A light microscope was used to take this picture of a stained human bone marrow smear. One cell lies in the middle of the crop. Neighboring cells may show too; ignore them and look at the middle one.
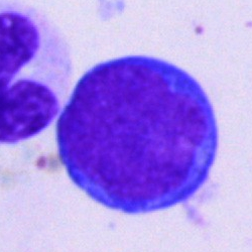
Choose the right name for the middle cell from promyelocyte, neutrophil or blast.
blast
